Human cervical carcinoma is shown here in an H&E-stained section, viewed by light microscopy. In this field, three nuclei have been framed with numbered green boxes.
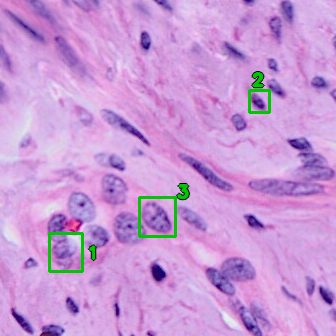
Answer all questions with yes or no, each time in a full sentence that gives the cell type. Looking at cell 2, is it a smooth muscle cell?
Yes, the numbered cell 2 is a smooth muscle cell.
